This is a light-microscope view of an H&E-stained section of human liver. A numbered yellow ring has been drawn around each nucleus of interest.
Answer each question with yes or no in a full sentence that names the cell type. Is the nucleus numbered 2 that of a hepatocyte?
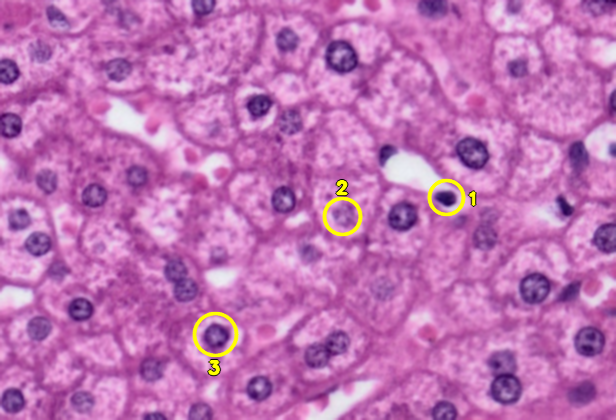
Yes, so the cell at label 2 is a hepatocyte.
